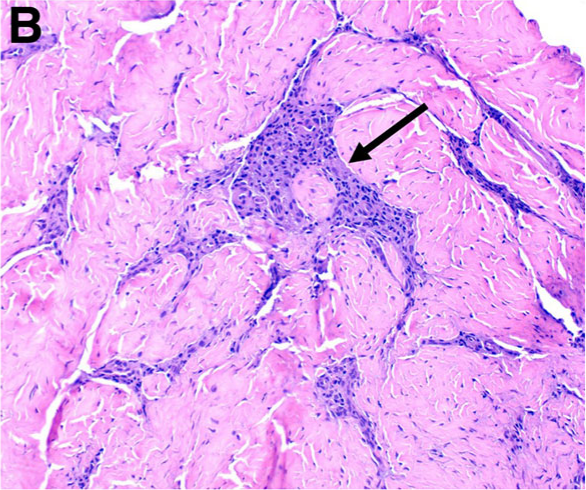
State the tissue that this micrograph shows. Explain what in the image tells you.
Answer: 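Broad bundles of pink collagen fill most of the panel. On this evidence: dense fibrous connective tissue.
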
